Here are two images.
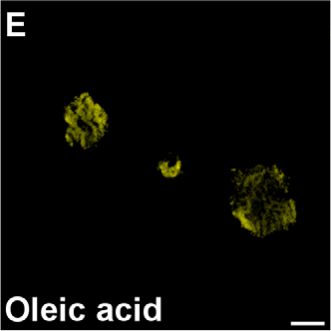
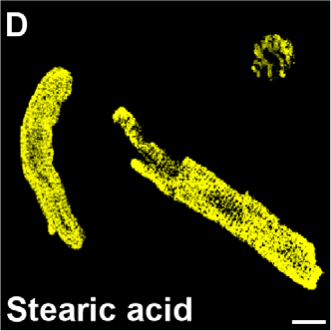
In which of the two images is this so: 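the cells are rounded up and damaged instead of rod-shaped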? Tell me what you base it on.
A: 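The first image. First image: only small rounded, ragged cells with faint yellow signal. Second image: mostly long, intact rod-shaped cells brightly filled with yellow signal.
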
